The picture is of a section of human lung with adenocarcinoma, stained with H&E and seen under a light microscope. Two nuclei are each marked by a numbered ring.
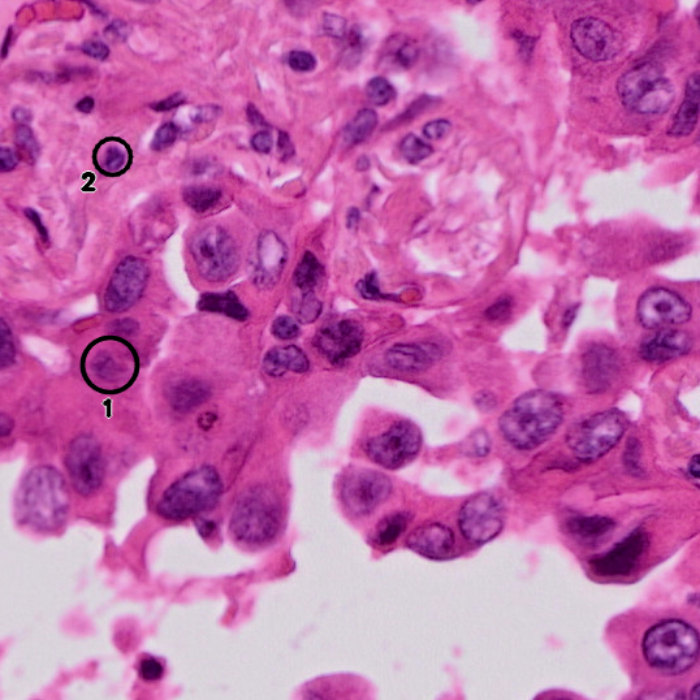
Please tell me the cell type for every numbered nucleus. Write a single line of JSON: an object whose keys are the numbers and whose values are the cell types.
{"1": "carcinoma cell", "2": "lymphocyte"}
